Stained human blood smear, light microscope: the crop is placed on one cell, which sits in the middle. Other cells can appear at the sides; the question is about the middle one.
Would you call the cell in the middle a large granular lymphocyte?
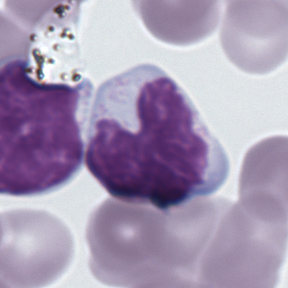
yes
